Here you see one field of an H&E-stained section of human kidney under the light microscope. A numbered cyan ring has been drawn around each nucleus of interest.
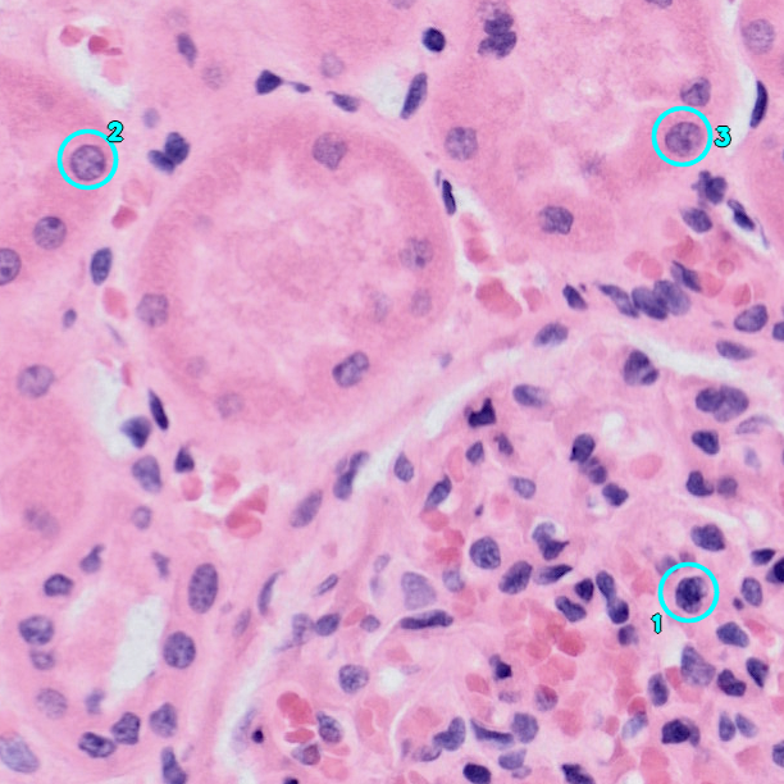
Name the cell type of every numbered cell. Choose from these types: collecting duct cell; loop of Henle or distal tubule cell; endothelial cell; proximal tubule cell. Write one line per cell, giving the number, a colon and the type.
1: endothelial cell
2: proximal tubule cell
3: proximal tubule cell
